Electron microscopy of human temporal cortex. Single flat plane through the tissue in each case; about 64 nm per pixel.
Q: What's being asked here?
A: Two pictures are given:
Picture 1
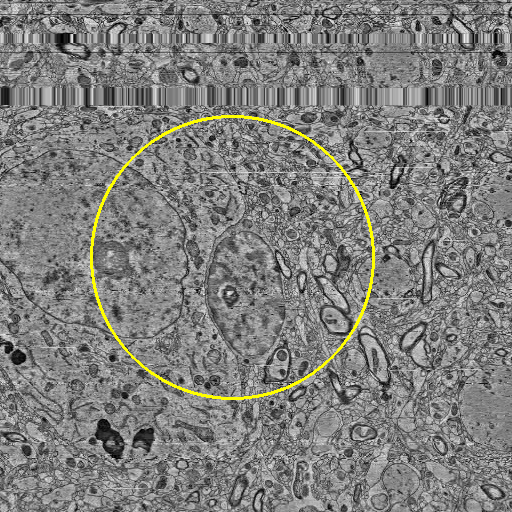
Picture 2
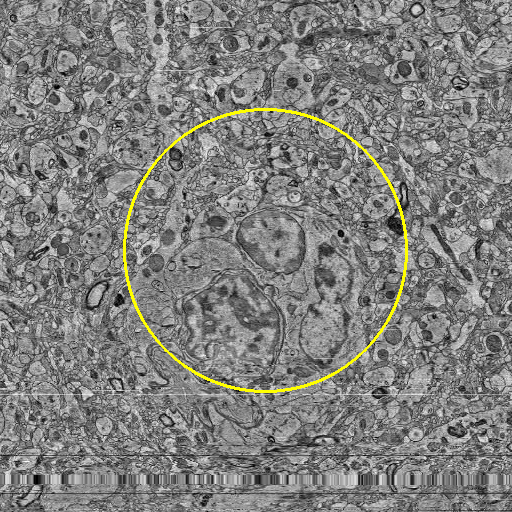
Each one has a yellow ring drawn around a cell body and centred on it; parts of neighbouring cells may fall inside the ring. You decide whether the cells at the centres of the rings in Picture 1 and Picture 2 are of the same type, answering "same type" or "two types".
two types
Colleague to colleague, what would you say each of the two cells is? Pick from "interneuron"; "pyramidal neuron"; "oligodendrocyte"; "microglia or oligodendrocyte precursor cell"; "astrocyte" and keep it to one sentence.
The cell in the first picture is an oligodendrocyte; the second picture's cell is a microglial cell or oligodendrocyte precursor cell.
